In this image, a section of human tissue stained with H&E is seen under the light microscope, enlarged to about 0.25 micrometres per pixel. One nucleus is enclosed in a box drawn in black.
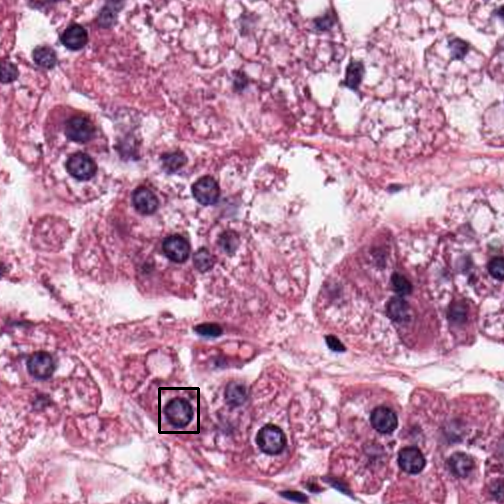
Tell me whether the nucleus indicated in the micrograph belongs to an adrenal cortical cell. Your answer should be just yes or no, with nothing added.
yes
